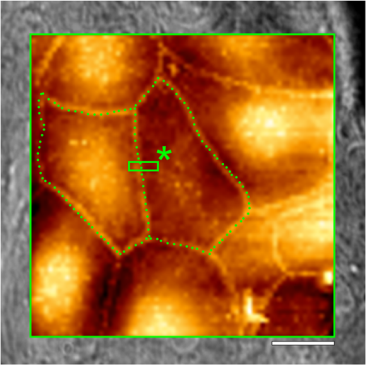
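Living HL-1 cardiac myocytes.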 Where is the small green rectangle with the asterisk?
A: Cell–cell contact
